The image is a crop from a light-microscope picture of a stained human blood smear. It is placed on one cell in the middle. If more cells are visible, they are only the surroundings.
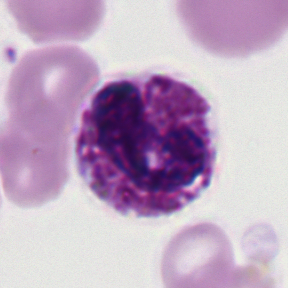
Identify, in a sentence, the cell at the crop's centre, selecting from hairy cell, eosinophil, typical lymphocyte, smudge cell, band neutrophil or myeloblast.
The centrally positioned cell in the crop represents an eosinophil.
